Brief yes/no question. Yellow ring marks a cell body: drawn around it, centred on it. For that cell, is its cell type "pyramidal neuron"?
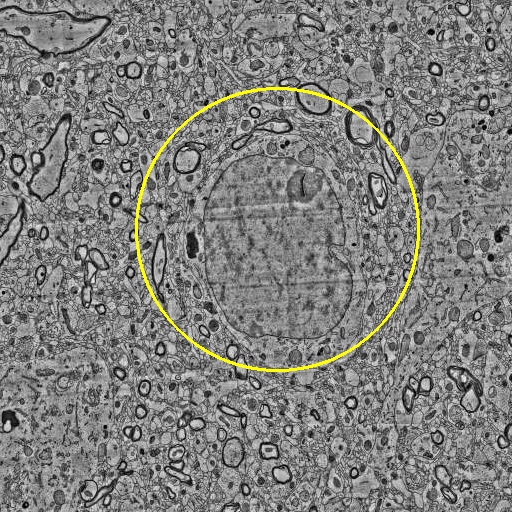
Yes, that is the cell type.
